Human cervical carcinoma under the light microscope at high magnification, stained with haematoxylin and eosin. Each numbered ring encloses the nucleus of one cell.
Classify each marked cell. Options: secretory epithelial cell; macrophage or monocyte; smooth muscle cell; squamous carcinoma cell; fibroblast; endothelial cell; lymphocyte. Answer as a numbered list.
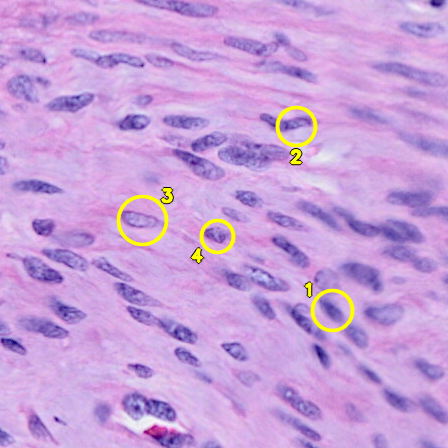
1. fibroblast
2. smooth muscle cell
3. smooth muscle cell
4. smooth muscle cell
